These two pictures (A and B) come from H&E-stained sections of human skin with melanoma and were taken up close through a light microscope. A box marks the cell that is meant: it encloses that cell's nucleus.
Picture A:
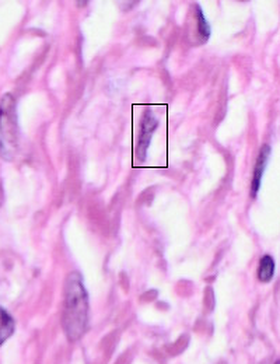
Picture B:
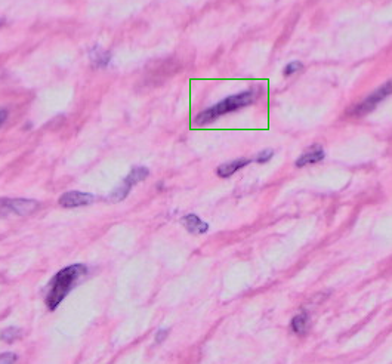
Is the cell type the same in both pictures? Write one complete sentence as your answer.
Yes, both cells are “fibroblasts or myofibroblasts”.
